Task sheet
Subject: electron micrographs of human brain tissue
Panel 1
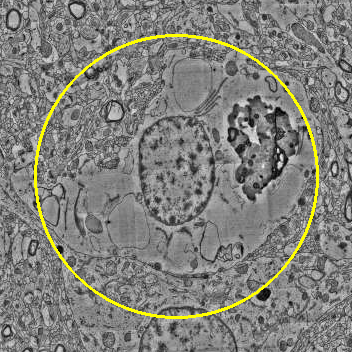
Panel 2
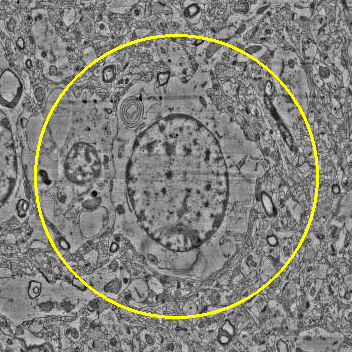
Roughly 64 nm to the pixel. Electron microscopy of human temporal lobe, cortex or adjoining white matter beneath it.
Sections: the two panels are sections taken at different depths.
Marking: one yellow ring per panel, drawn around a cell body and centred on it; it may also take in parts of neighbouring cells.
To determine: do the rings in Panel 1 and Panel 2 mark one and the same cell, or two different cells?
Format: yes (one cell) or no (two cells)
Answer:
no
